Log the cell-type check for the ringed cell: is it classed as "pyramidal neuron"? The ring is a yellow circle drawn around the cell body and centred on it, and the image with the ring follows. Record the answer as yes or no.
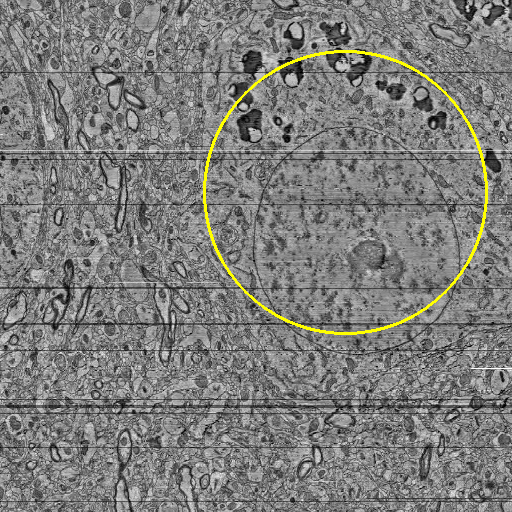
Yes, it is classed that way.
